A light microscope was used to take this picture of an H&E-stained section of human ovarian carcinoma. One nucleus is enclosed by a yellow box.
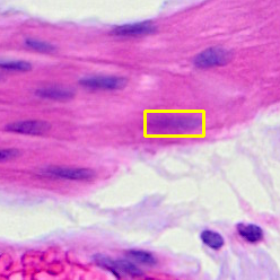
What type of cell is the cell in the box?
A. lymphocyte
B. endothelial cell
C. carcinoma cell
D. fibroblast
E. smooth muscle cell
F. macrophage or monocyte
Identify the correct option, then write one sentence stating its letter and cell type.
Of the options offered, E is correct, as the cell in the box is a smooth muscle cell.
